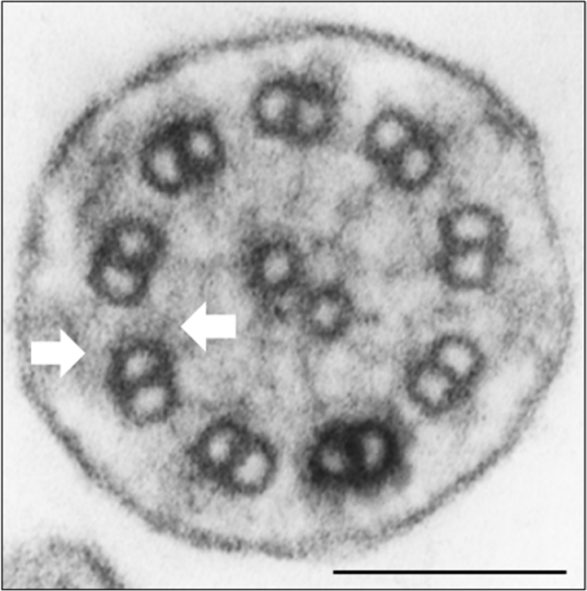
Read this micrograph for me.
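Here is a single cilium cut in cross-section under the electron microscope, bounded by a thin dark membrane. Nine paired microtubules form a ring near the edge, each doublet showing two fused circular profiles, and a central pair of microtubules lies in the middle, so the nine-plus-two layout is kept. But look at the sides of the doublets: they appear smooth, without the short hook-like arms one expects on their outer and inner faces. The missing dynein arms are the striking abnormality here, which would leave the cilium without its beating motors.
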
